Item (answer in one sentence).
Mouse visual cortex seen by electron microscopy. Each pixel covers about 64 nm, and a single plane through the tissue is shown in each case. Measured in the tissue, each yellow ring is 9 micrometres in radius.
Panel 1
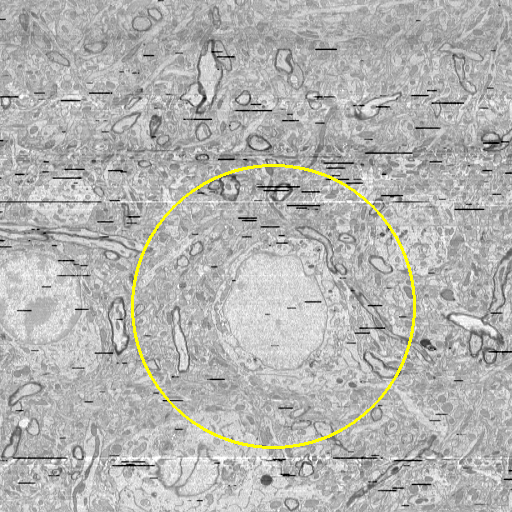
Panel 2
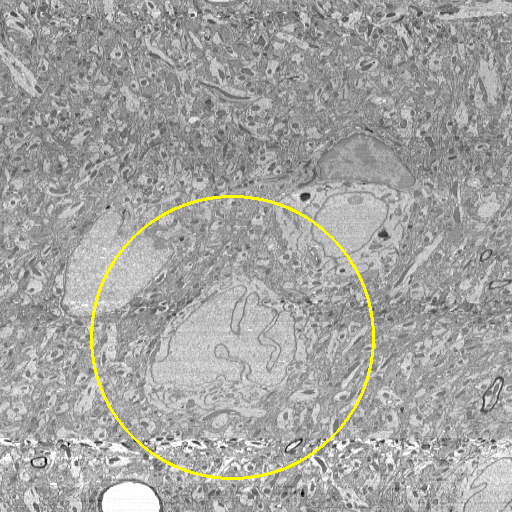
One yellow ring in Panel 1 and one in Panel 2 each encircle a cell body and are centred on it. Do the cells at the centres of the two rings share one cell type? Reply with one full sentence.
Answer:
Yes, Panel 1 and Panel 2 show cells of one type at the centres of their rings.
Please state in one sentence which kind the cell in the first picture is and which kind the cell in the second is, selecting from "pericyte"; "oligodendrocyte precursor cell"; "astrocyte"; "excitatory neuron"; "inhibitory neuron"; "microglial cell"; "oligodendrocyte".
In both pictures the ring is centred on an inhibitory neuron.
